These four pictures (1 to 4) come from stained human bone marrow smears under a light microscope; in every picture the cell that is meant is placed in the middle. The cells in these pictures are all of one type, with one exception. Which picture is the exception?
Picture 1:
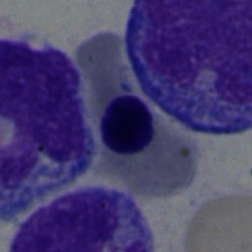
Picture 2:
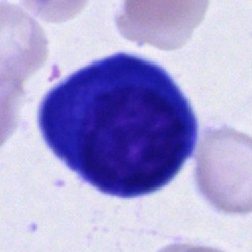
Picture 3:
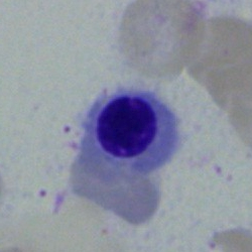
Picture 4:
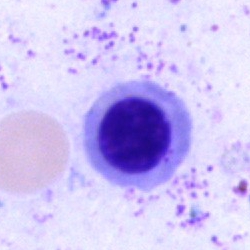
2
